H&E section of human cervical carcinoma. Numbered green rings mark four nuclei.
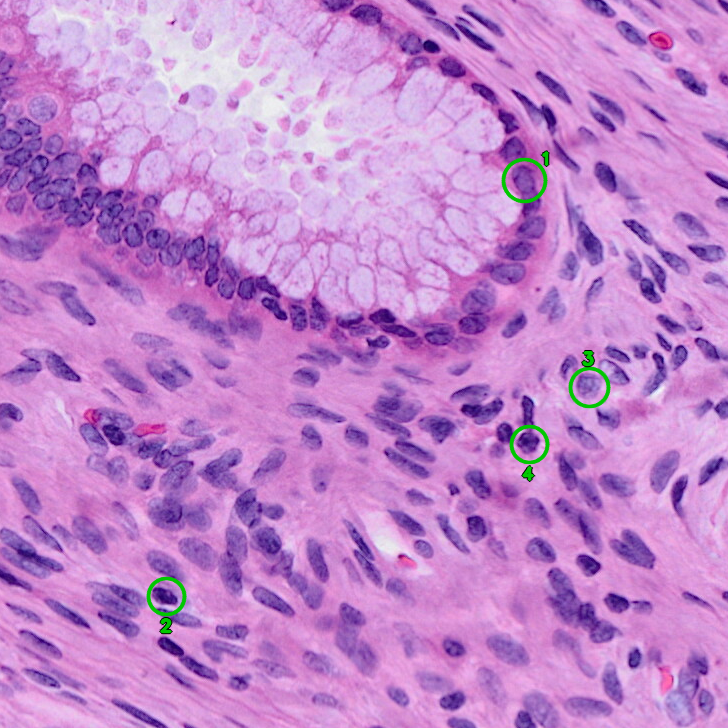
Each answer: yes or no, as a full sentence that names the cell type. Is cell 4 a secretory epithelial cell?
No, cell 4 is not a secretory epithelial cell; a lymphocyte is the correct identification.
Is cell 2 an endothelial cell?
No, it is a lymphocyte, rather than an endothelial cell, that carries number 2.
